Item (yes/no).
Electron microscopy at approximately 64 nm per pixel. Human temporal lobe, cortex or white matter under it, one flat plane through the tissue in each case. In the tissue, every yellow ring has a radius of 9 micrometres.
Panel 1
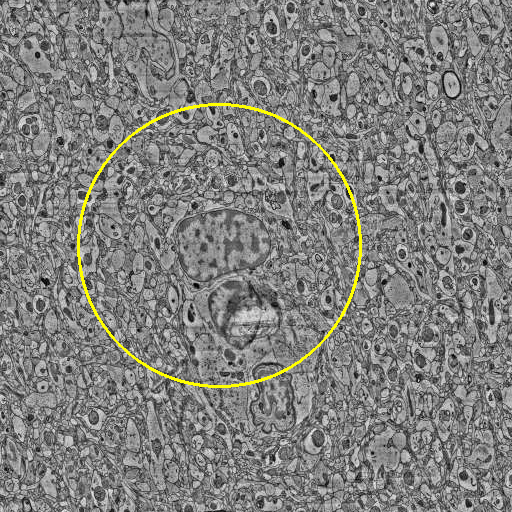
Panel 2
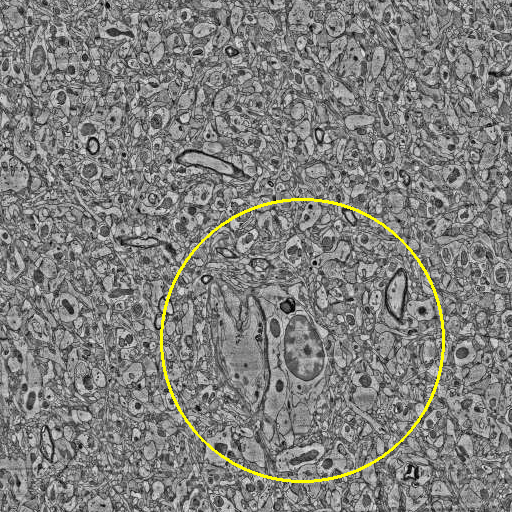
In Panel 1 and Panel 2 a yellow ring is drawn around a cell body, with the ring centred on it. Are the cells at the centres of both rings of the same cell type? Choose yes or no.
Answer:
yes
